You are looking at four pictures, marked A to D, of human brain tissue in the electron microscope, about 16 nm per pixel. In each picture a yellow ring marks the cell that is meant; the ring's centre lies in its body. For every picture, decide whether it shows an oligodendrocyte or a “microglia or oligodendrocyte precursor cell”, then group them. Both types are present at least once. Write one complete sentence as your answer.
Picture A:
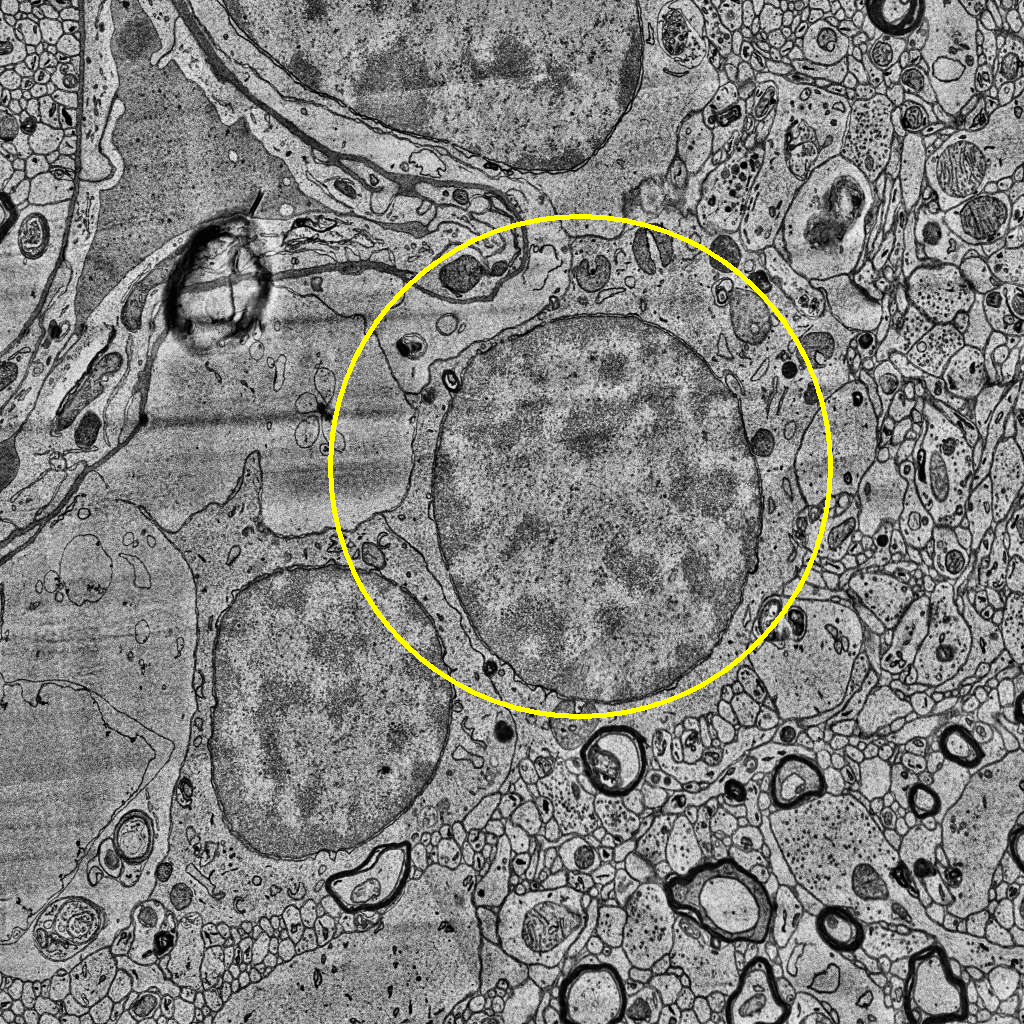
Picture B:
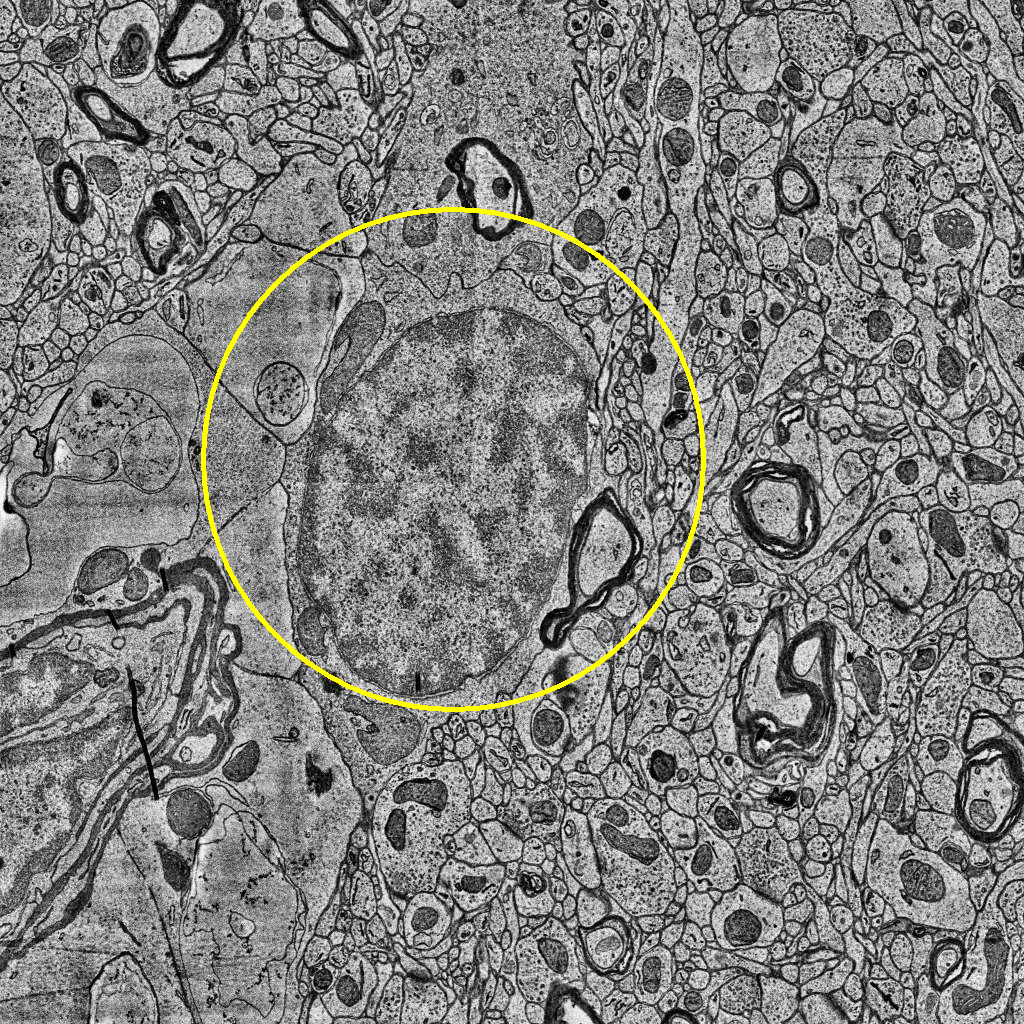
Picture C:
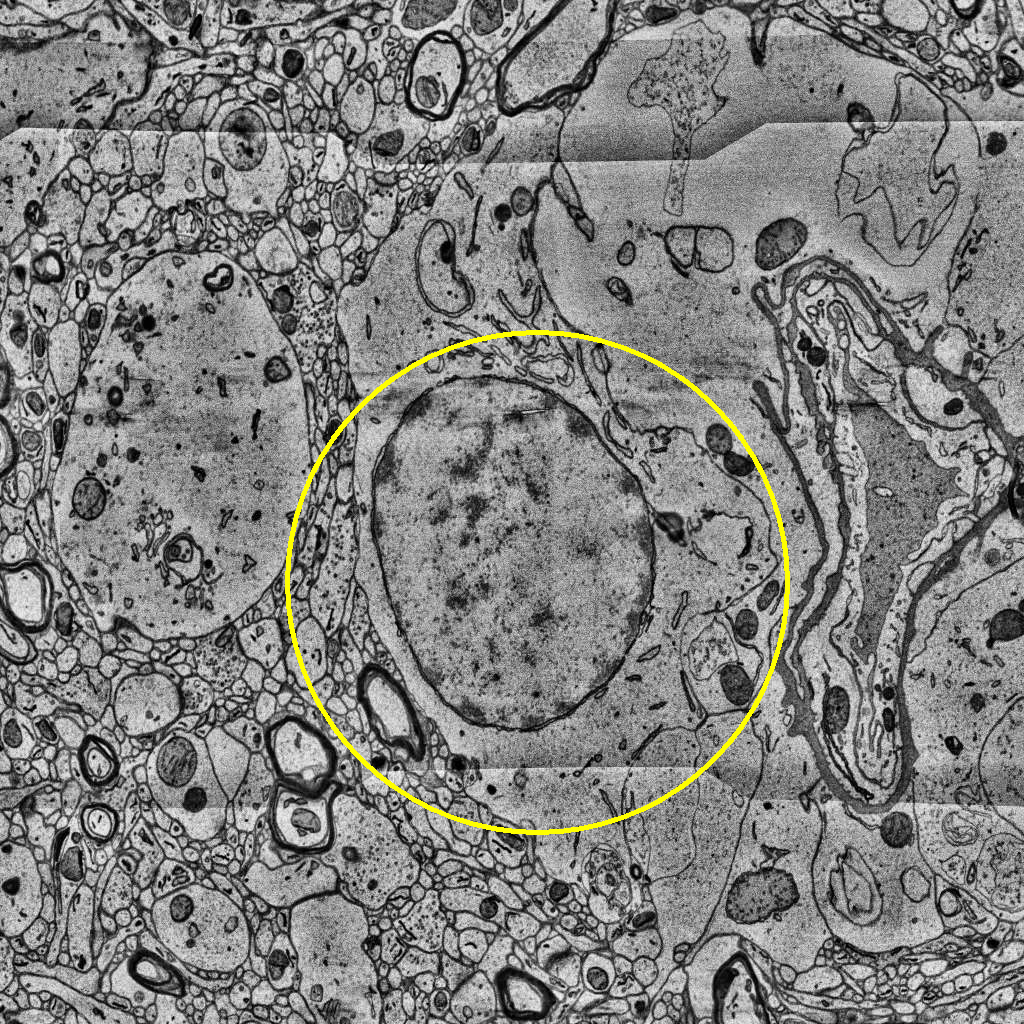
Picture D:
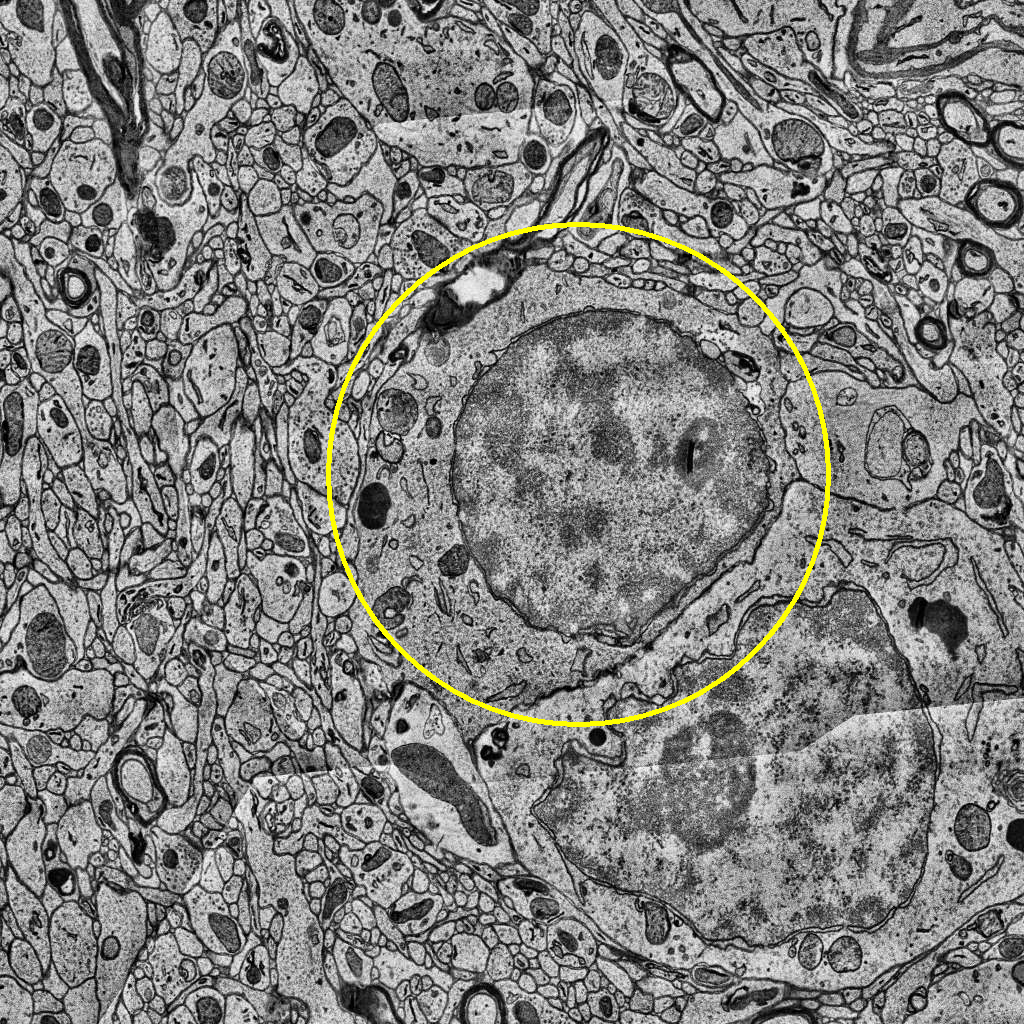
Pictures A, B and D show oligodendrocytes, and picture C shows a “microglia or oligodendrocyte precursor cell”.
